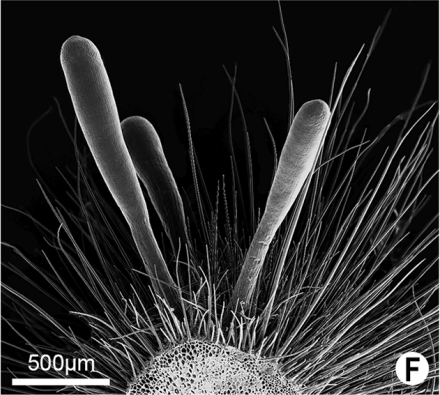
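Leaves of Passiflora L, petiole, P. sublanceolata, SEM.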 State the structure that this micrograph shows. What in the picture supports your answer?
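Clavate glands. Three elongated club-shaped projections thicken toward rounded tips. They stand among numerous fine pointed hairs.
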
